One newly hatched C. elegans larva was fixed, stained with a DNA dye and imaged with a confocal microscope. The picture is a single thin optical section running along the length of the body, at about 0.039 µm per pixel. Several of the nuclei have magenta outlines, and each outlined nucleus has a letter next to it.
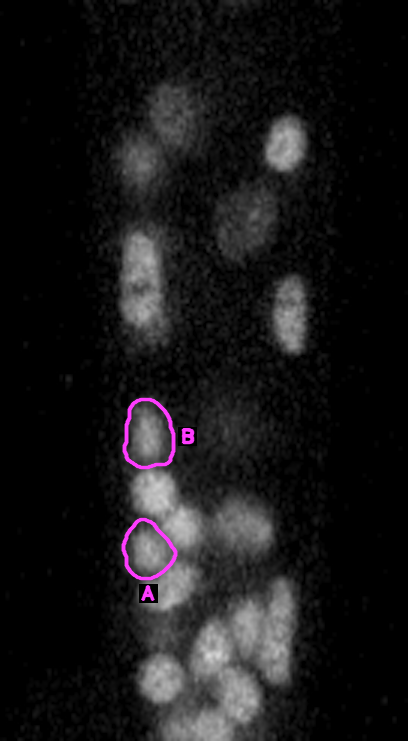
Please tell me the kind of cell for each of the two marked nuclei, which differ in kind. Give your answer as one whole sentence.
A belongs to a neuron and B to an enteric muscle cell.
